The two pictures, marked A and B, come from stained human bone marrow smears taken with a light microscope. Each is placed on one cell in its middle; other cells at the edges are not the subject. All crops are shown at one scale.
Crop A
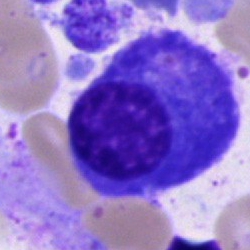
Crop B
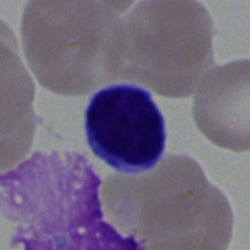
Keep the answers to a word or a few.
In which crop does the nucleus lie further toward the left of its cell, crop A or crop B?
A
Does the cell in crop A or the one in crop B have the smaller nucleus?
B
